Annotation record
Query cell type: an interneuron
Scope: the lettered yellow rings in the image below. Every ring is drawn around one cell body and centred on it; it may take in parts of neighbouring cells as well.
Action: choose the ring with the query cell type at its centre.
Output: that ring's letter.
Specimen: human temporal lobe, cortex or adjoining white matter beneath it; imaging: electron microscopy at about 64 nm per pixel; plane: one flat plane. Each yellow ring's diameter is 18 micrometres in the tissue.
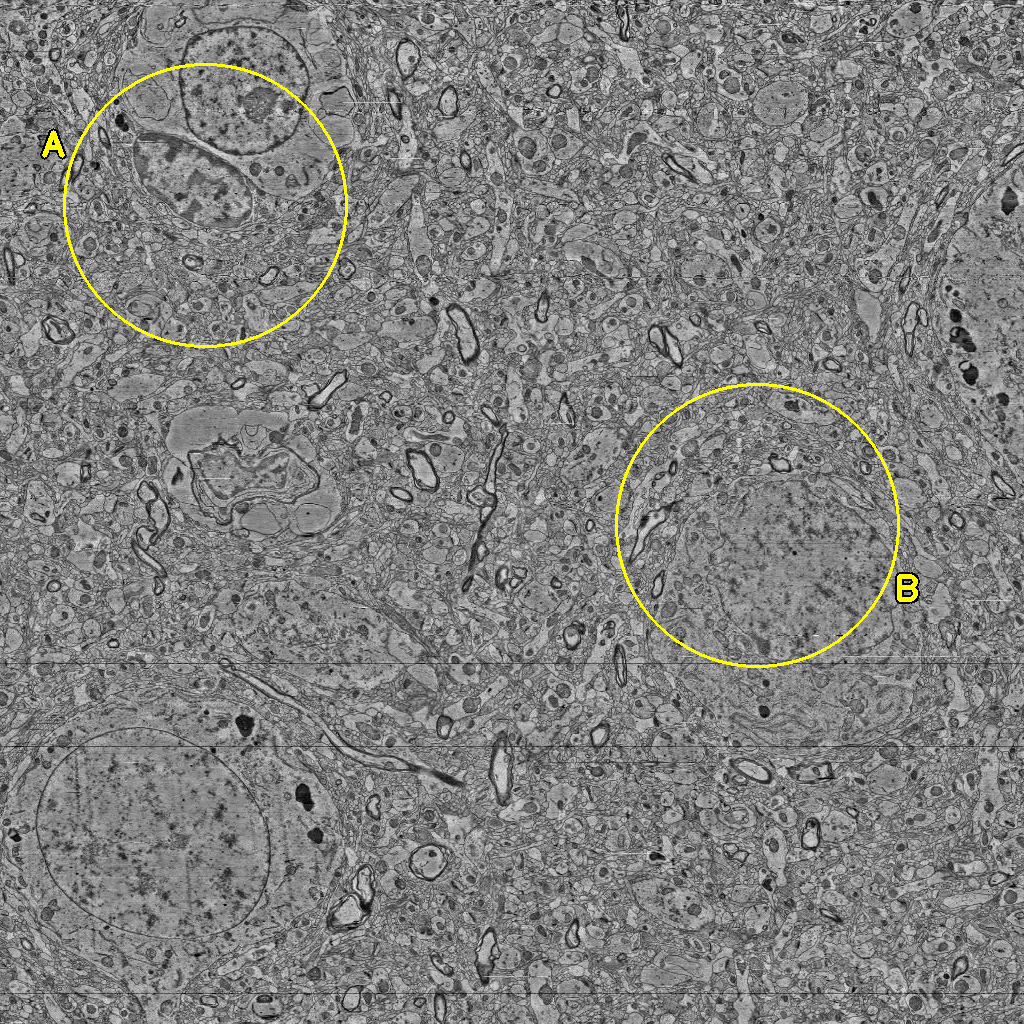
B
